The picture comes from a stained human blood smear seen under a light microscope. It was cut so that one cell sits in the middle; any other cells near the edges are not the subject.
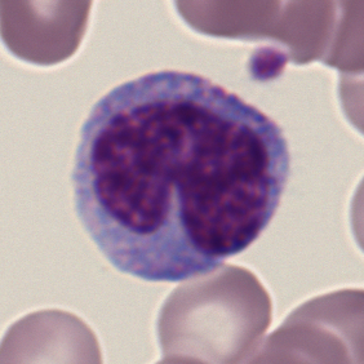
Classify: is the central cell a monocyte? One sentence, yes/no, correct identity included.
Yes, the cell sitting in the middle of this smear crop is a monocyte.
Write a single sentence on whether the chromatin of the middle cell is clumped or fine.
The chromatin is fine; coarse clumps are not a feature here.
